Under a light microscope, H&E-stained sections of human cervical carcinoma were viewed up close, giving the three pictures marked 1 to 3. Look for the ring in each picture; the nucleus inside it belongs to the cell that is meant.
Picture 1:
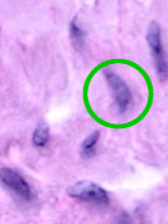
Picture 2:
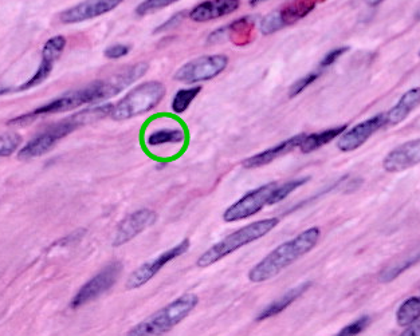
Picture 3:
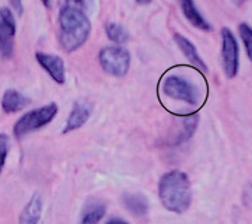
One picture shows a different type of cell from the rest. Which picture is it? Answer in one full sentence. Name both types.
The different one is picture 2; it shows a lymphocyte, whereas all the others show fibroblasts.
